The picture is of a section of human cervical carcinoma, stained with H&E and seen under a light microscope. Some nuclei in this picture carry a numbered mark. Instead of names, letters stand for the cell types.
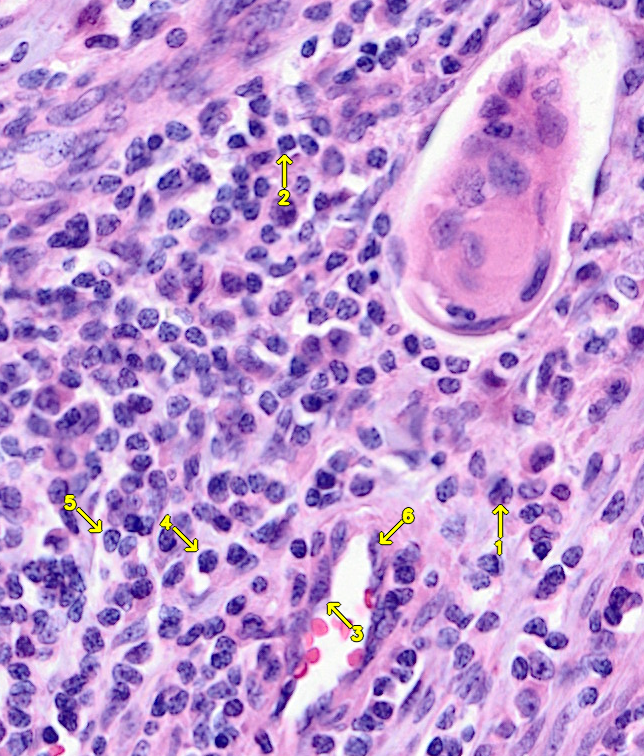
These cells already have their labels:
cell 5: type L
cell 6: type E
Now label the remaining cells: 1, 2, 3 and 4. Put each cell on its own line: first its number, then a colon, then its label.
1: type L
2: type L
3: type E
4: type L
